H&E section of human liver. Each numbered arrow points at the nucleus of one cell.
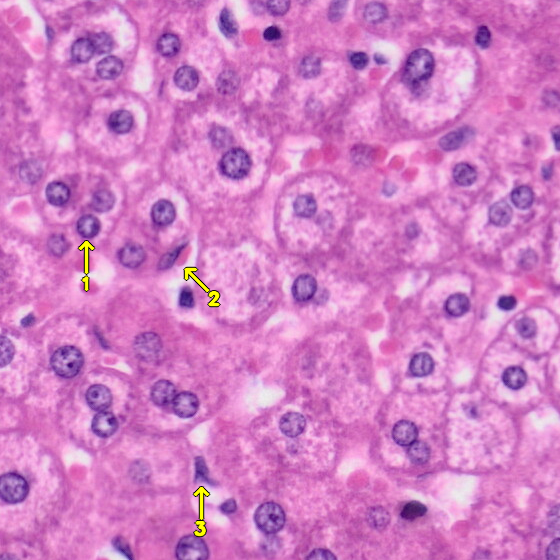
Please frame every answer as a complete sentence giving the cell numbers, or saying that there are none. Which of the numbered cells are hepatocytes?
Cell 1 is a hepatocyte, and this holds for no other numbered cell.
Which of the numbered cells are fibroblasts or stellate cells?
Only the cell carrying number 3 is a fibroblast or stellate cell.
